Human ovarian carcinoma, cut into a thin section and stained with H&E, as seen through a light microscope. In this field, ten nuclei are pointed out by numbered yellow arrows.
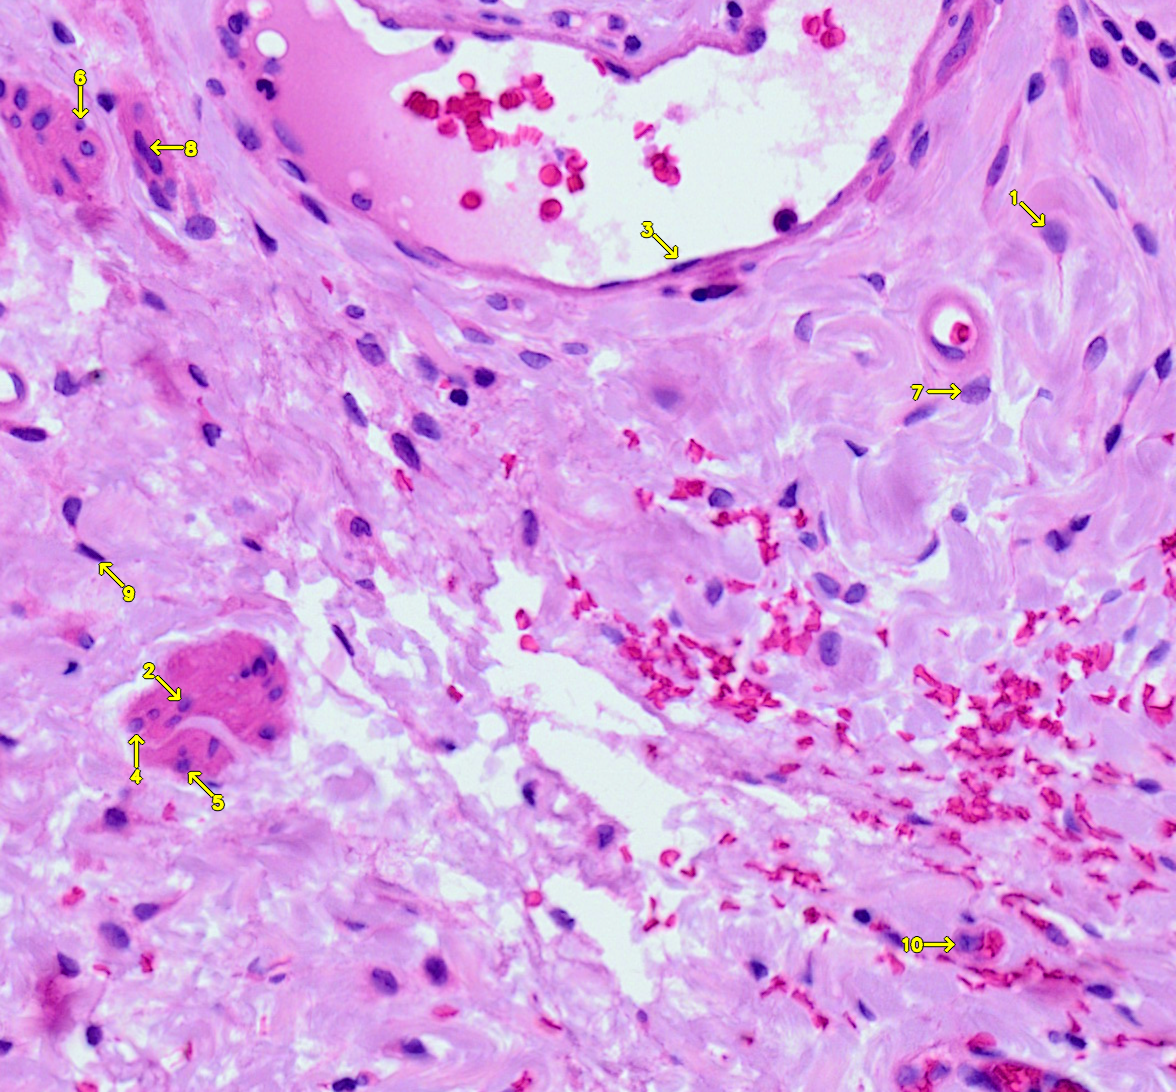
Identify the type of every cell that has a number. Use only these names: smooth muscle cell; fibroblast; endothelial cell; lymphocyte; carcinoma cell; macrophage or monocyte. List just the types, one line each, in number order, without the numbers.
fibroblast
smooth muscle cell
endothelial cell
smooth muscle cell
smooth muscle cell
smooth muscle cell
fibroblast
smooth muscle cell
fibroblast
endothelial cell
